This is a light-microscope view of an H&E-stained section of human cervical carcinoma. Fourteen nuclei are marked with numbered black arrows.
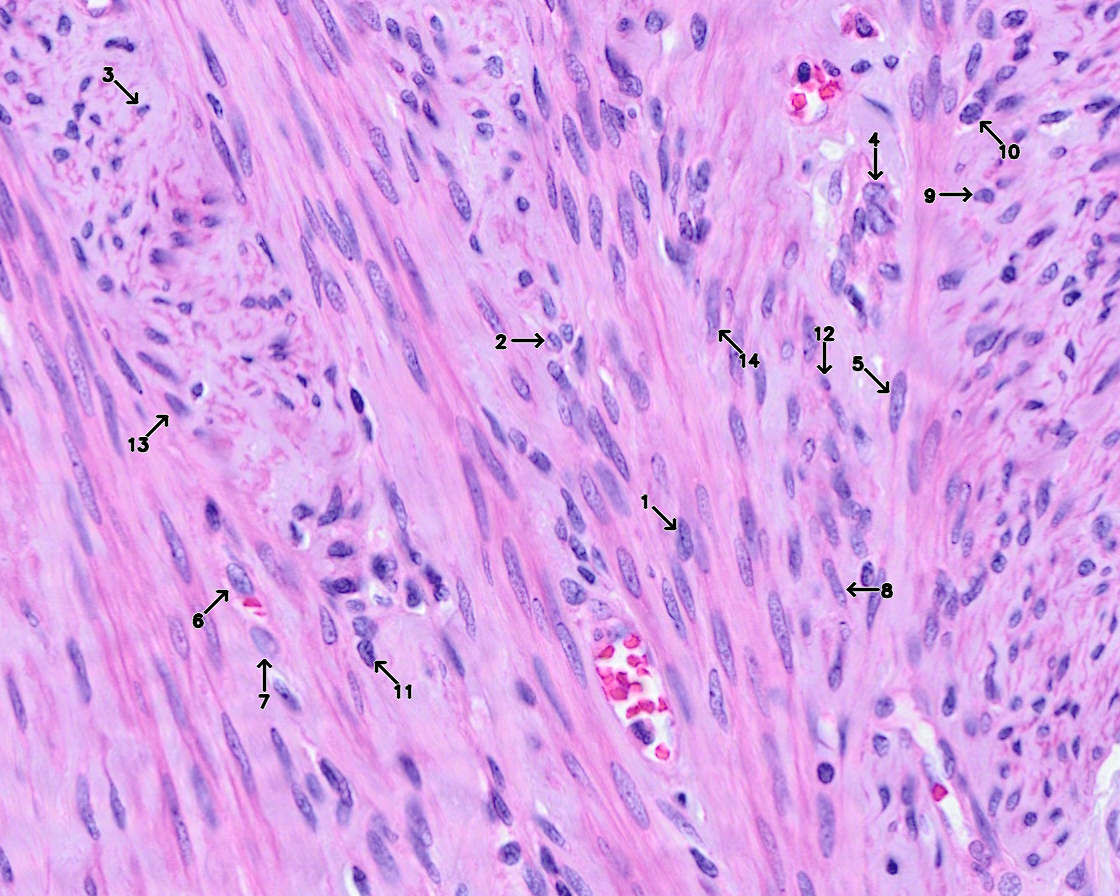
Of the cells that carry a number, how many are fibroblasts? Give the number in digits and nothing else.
1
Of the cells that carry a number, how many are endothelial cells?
3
